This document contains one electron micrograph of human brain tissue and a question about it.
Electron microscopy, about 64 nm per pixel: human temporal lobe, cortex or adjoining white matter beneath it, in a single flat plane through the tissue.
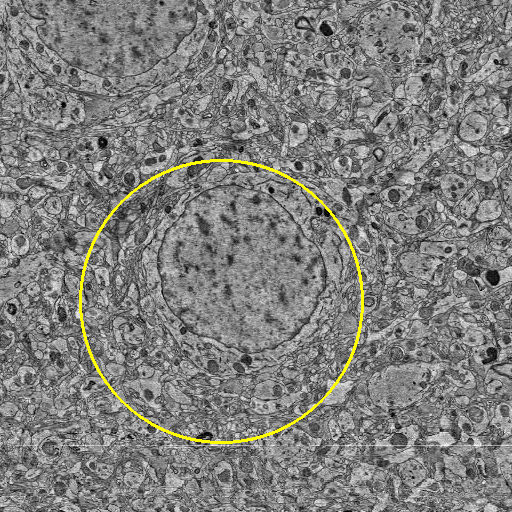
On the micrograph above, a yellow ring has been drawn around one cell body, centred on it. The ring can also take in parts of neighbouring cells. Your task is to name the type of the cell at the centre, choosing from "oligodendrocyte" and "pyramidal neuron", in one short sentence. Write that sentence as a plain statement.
Here the ring is centred on a pyramidal neuron.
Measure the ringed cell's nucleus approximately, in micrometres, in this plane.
In this plane, the nucleus of the cell at the centre of the ring is about 11 micrometres across.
